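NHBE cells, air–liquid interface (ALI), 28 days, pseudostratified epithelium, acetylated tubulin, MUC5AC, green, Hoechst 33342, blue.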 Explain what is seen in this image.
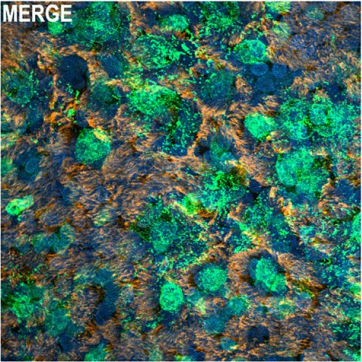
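Blue oval nuclei show through underneath, packed closely together. The goblet cells are scattered singly or in small groups among the much more widespread cilia.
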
